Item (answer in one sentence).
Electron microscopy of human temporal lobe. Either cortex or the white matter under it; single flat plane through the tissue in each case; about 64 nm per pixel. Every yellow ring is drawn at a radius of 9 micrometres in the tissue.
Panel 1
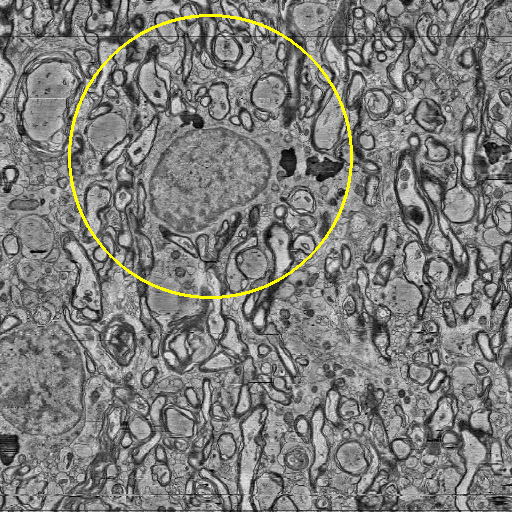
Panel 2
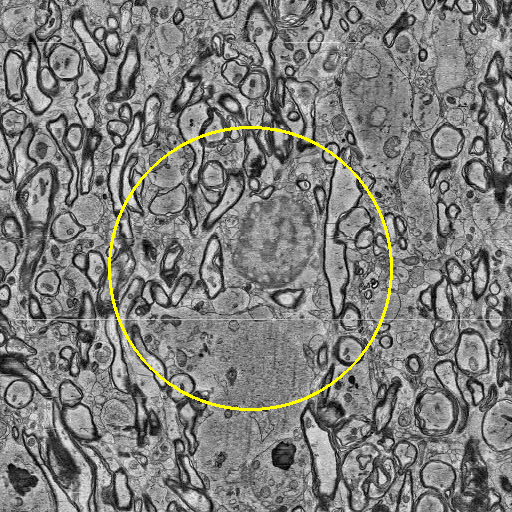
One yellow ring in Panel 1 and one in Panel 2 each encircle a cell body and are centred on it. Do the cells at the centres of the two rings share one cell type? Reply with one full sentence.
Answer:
Yes, Panel 1 and Panel 2 show cells of one type at the centres of their rings.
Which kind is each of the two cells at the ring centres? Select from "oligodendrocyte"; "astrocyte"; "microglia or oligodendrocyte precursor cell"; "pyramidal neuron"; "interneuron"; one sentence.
Both rings mark an oligodendrocyte, one in each picture.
